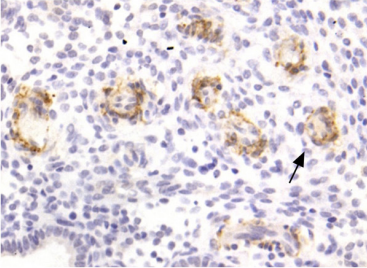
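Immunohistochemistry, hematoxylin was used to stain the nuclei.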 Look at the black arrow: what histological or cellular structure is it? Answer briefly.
Spiral artery.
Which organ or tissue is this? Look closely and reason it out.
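Endometrium. Densely cellular stroma with many oval to spindle blue nuclei. Small vessels scattered through the stroma. Edge of an epithelium-lined gland at the lower left.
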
